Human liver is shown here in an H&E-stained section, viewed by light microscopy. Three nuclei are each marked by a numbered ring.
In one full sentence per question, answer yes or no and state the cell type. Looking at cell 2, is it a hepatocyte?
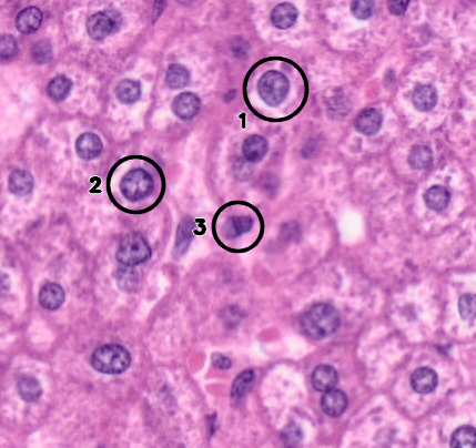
Yes, what number 2 marks is a hepatocyte.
